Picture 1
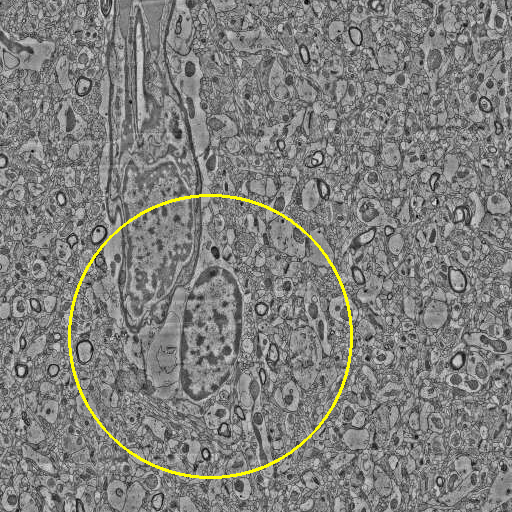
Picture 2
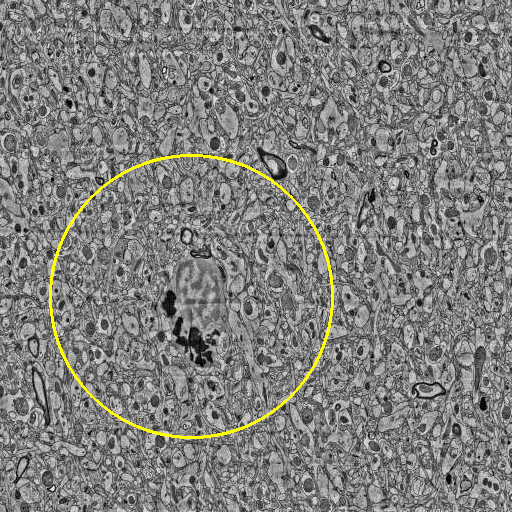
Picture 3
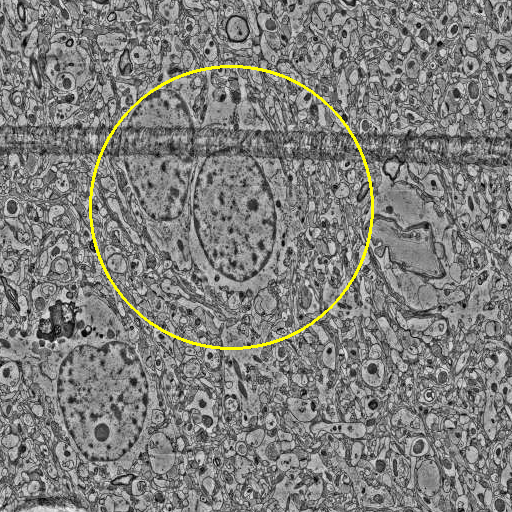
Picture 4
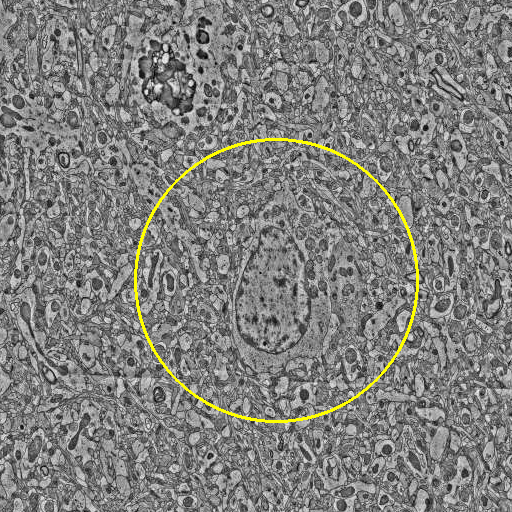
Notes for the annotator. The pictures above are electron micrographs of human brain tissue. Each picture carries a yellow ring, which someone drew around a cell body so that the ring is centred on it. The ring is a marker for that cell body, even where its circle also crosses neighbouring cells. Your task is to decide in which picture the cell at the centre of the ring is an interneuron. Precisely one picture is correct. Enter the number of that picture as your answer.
4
